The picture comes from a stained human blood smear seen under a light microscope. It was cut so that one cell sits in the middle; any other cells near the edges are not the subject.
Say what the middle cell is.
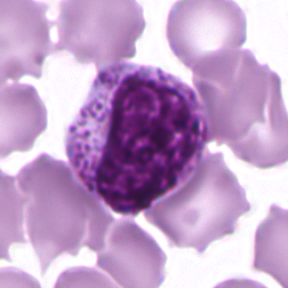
metamyelocyte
